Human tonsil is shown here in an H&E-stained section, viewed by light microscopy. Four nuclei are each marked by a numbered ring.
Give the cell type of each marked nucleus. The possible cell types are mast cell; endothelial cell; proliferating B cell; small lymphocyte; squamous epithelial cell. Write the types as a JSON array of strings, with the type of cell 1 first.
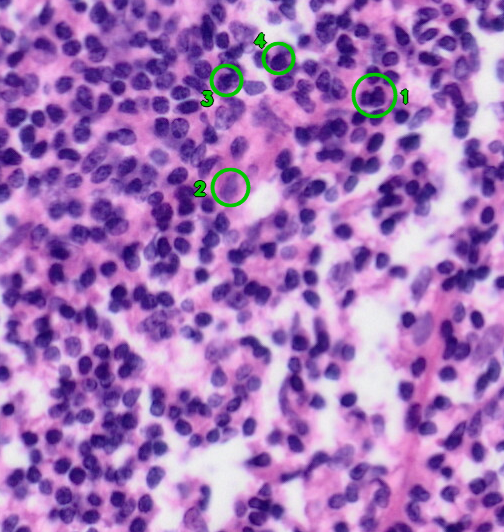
["small lymphocyte", "endothelial cell", "small lymphocyte", "small lymphocyte"]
